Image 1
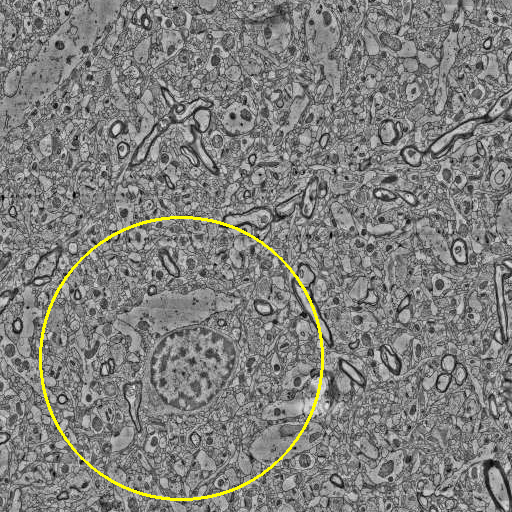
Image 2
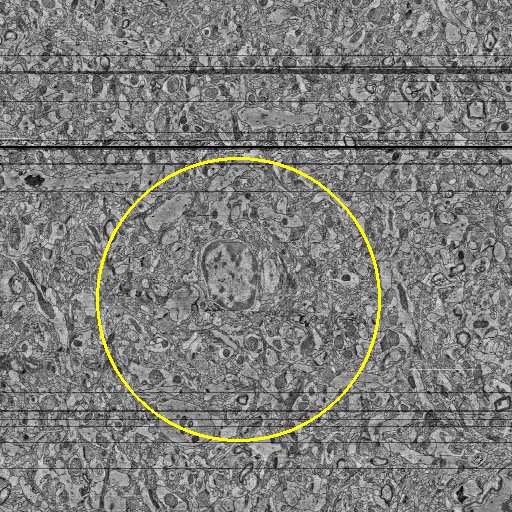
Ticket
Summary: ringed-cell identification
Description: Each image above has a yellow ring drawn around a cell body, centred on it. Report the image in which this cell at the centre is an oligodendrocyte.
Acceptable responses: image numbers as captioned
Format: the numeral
1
